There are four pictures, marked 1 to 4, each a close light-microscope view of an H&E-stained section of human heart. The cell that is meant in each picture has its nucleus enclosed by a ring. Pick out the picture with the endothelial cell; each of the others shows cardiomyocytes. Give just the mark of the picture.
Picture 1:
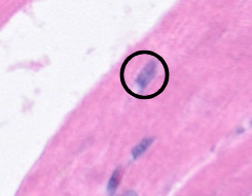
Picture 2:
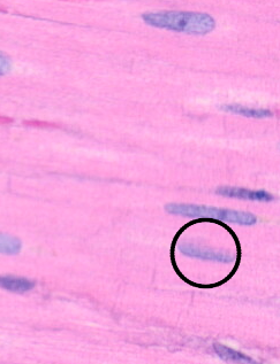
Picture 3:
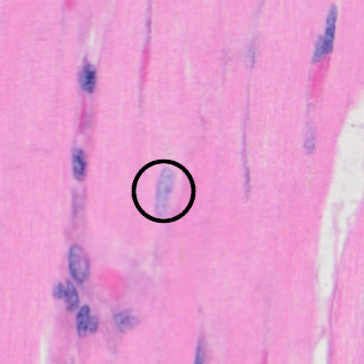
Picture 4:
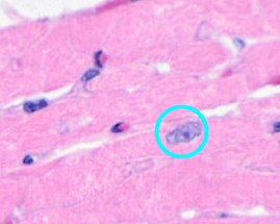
1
